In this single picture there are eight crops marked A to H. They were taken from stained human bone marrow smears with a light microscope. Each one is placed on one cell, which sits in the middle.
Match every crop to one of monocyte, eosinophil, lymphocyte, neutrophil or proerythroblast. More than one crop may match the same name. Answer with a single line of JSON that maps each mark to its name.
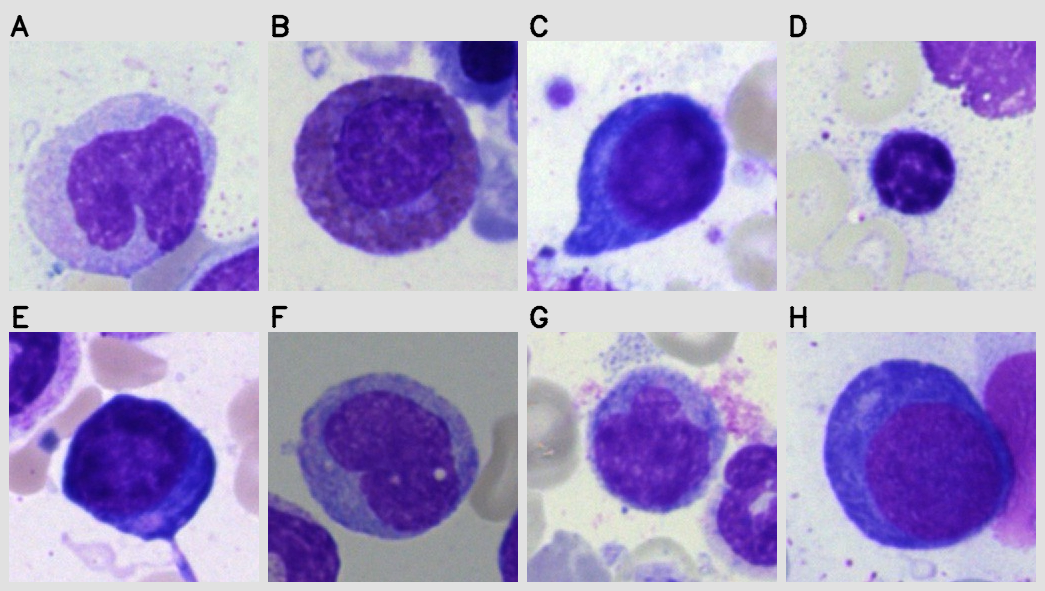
{"A": "monocyte", "B": "eosinophil", "C": "proerythroblast", "D": "lymphocyte", "E": "proerythroblast", "F": "monocyte", "G": "monocyte", "H": "proerythroblast"}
